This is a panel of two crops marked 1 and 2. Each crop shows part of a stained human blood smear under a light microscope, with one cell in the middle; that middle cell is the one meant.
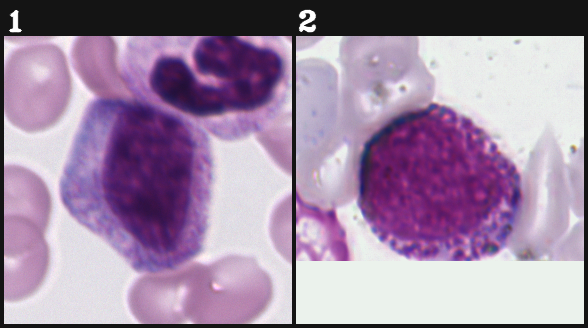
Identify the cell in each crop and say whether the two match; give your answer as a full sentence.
Yes, the two crops are alike in showing myelocytes.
